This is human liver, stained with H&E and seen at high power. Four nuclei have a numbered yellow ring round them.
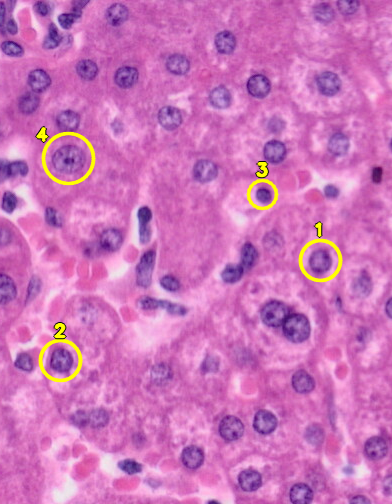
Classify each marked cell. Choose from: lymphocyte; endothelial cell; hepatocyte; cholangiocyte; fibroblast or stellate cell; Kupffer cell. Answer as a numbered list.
1. hepatocyte
2. hepatocyte
3. lymphocyte
4. hepatocyte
